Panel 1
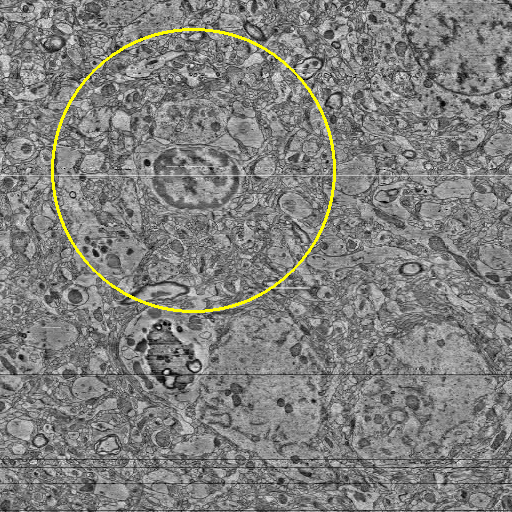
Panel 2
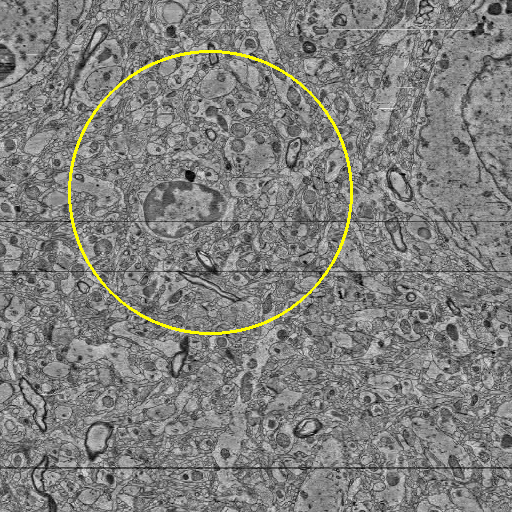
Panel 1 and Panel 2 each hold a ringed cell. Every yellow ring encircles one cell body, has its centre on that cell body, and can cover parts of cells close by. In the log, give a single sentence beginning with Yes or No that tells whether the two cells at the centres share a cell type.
Yes, in Panel 1 and Panel 2 the centred cells share a cell type.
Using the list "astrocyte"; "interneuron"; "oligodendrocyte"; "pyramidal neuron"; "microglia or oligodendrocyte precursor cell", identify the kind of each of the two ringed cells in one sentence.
Each of the two pictures has a microglial cell or oligodendrocyte precursor cell at the ring centre.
